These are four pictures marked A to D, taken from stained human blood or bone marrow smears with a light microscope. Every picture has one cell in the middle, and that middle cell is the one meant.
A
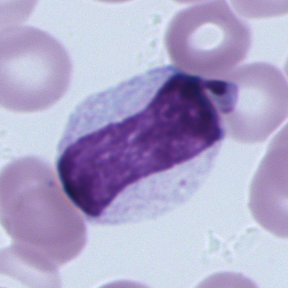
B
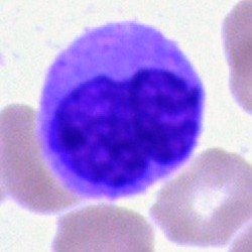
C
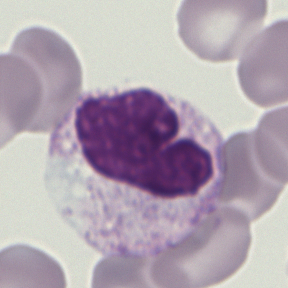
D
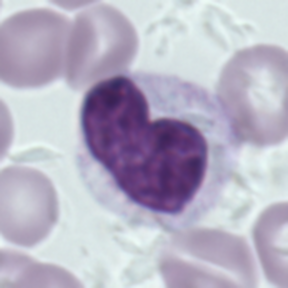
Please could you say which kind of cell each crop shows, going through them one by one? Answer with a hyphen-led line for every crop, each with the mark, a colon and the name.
- A: band neutrophil
- B: monocyte
- C: band neutrophil
- D: band neutrophil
